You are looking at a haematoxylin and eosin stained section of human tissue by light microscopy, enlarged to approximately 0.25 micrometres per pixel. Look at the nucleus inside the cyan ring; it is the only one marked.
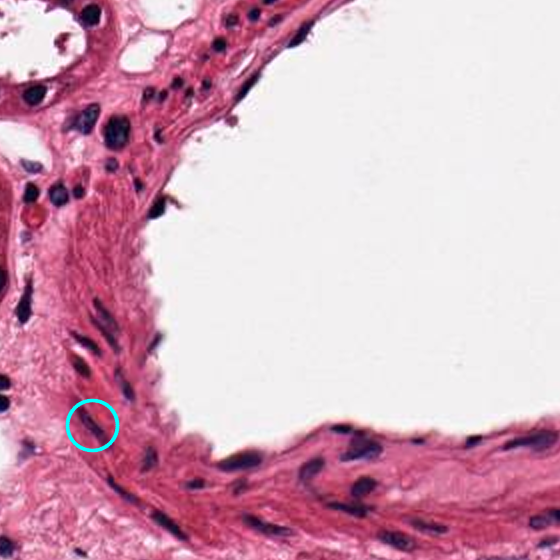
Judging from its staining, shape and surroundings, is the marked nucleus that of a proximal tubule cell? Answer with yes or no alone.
no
